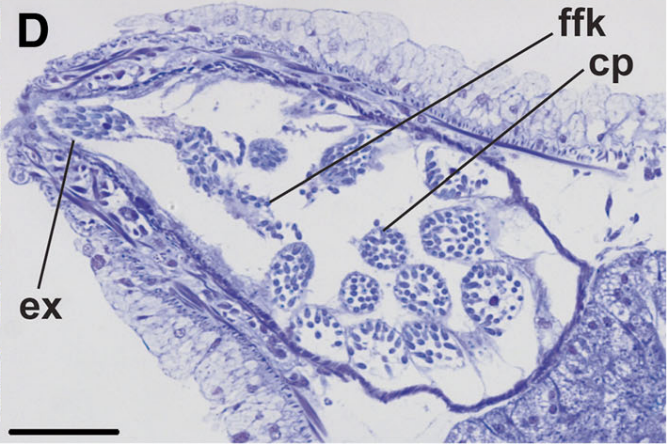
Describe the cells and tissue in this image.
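This longitudinal section through the tip of a cnidosac shows a wide lumen in which rounded cnidophages float, each packed with many small oval capsules stained dark blue. Single capsules also lie loose between these cells in the lumen. The sac is bounded by a thin wall and, outside it, by an epithelium of pale columnar cells.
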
